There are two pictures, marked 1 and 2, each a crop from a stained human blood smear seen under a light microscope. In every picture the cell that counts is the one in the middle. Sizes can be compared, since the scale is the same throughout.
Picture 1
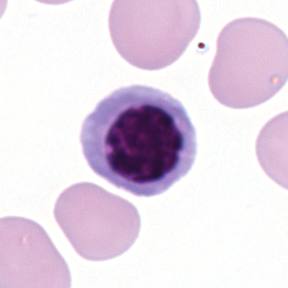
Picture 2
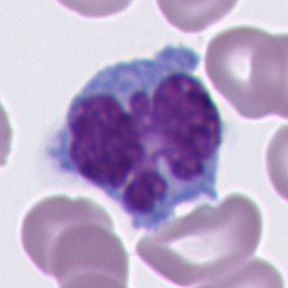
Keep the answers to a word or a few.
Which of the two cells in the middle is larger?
2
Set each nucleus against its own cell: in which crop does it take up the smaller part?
1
